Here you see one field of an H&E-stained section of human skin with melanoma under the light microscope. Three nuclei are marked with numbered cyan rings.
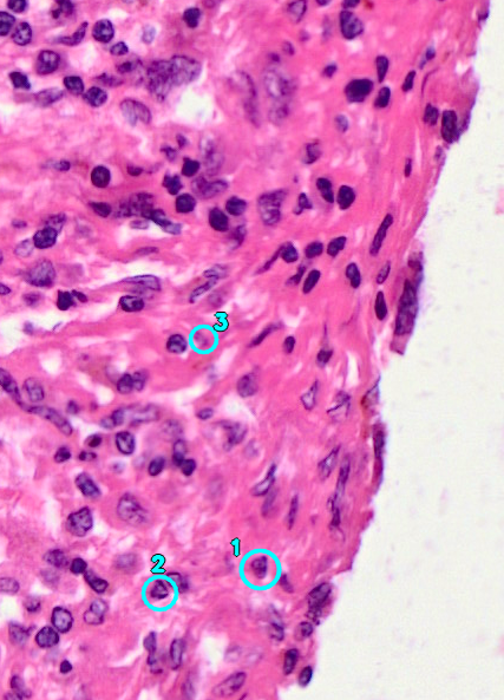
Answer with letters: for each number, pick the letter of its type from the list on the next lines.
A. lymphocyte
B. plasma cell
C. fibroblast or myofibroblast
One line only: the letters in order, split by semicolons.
A; B; C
